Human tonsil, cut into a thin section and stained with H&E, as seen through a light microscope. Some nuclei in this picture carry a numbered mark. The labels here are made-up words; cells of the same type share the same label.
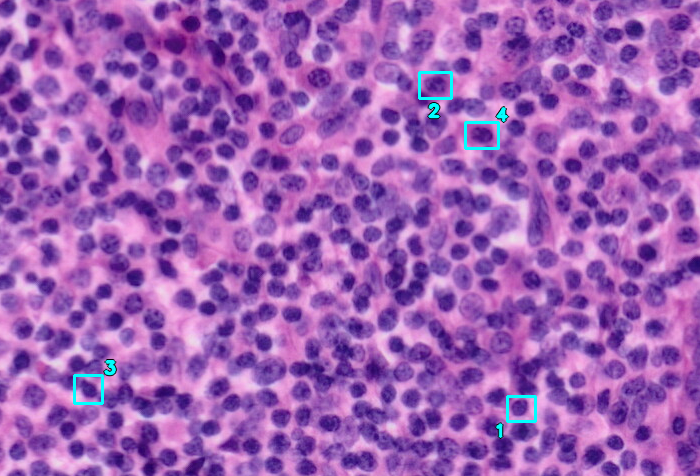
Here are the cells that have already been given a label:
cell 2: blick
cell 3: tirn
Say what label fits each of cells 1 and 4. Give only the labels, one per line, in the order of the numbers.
tirn
blick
